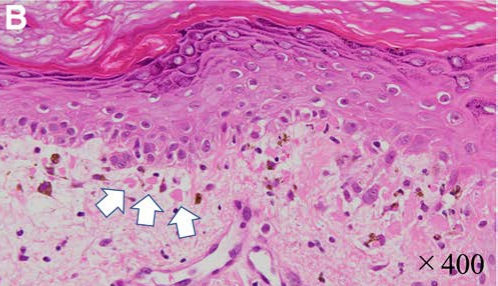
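Skin with stratified squamous epidermis under a compact pink cornified layer, showing vacuolar change of the basal layer with clear spaces blurring the border to the dermis. Round, homogeneous pink bodies sit along the lower epidermis, and scattered brown pigment granules lie in the pale, loose papillary dermis below.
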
